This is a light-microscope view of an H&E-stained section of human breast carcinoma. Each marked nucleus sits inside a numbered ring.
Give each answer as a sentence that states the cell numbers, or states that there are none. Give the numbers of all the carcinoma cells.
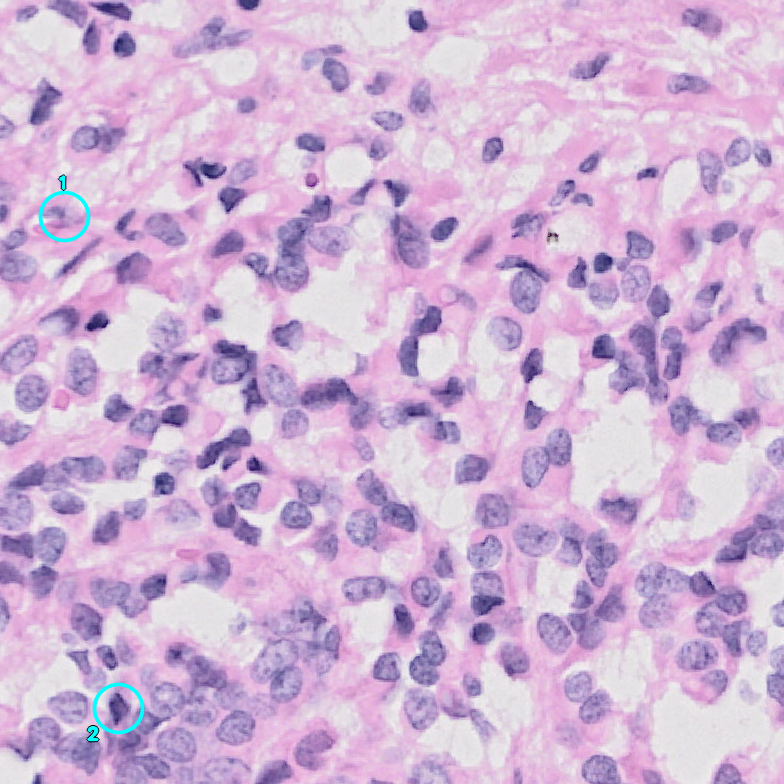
With the exception of cell 2, no marked cell is a carcinoma cell.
